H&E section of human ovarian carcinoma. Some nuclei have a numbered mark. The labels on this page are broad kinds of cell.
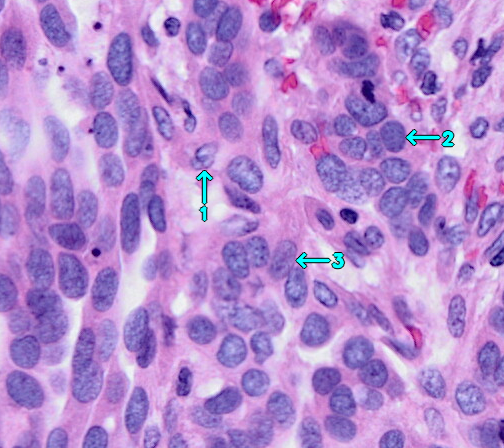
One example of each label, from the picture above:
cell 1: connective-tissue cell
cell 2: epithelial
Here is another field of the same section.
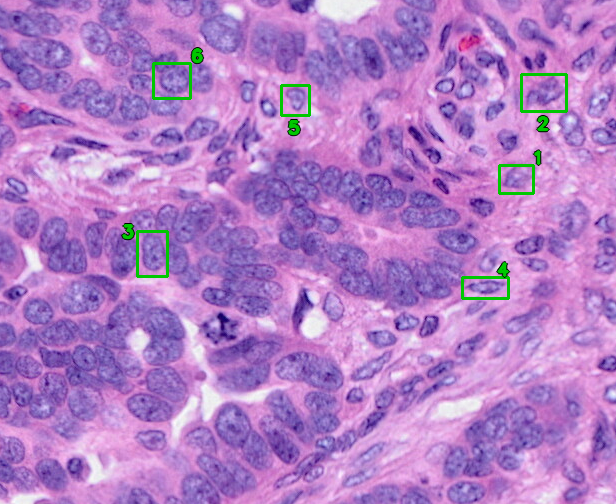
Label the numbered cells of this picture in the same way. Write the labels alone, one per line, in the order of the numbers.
connective-tissue cell
connective-tissue cell
epithelial
connective-tissue cell
connective-tissue cell
epithelial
